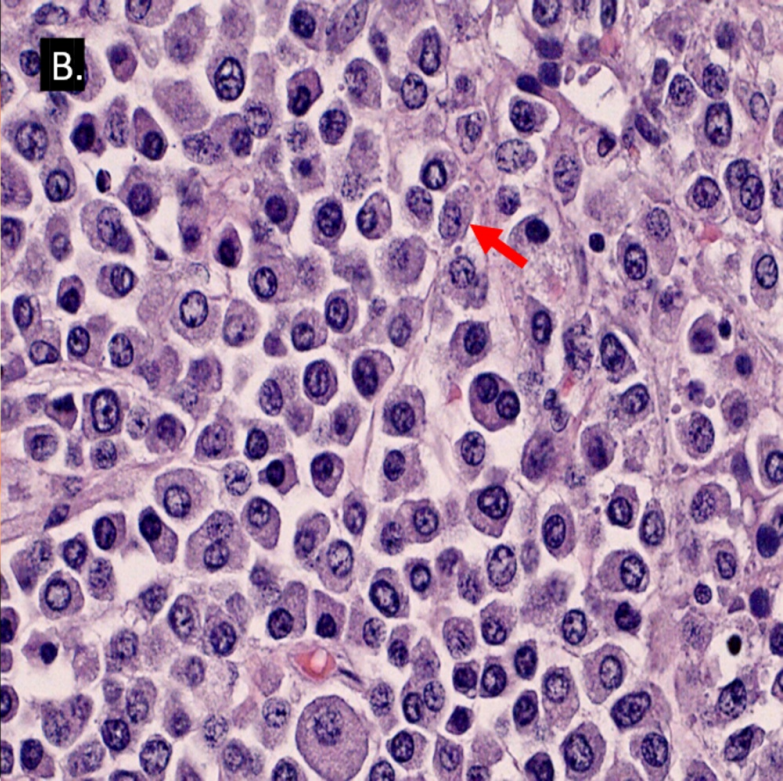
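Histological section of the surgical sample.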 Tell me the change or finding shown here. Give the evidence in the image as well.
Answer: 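Nuclei are large relative to the cells and sit toward one side of the cytoplasm. Many nuclei contain a conspicuous dark nucleolus. The cytoplasm is lavender-purple and lies mostly to one side of the nucleus.
Enlarged eccentric nuclei with prominent nucleoli.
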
